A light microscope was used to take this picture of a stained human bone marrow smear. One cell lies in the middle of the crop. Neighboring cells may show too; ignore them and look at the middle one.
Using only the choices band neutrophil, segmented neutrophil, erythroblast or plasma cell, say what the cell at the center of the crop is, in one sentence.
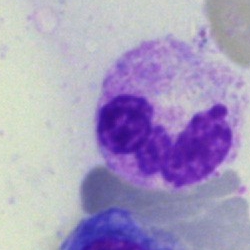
The central cell in this smear crop is a segmented neutrophil.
